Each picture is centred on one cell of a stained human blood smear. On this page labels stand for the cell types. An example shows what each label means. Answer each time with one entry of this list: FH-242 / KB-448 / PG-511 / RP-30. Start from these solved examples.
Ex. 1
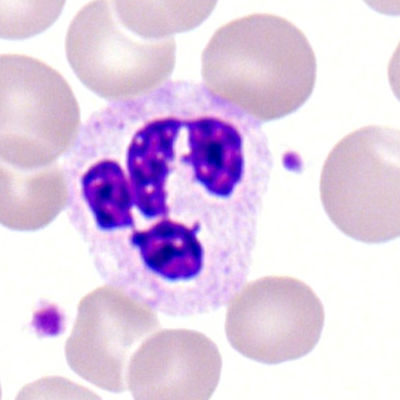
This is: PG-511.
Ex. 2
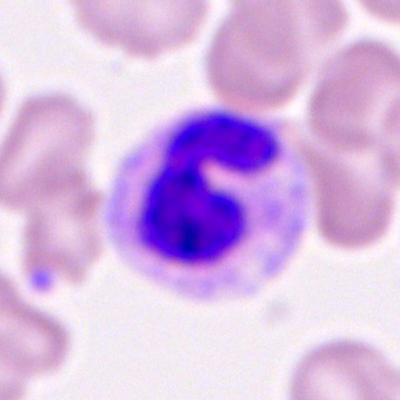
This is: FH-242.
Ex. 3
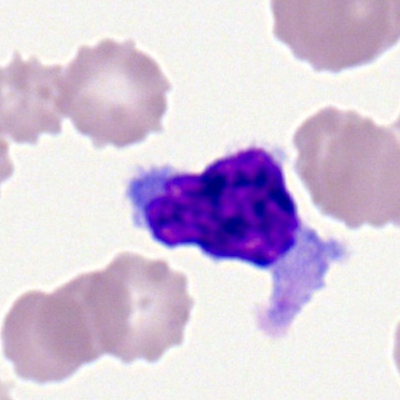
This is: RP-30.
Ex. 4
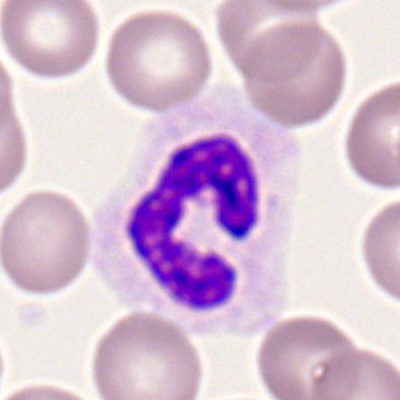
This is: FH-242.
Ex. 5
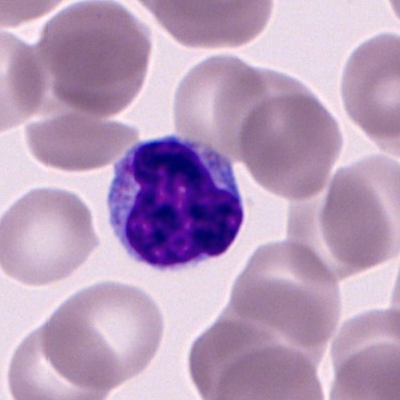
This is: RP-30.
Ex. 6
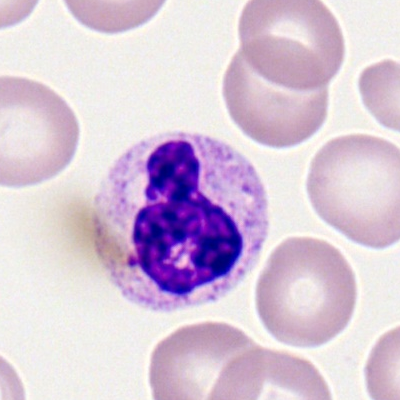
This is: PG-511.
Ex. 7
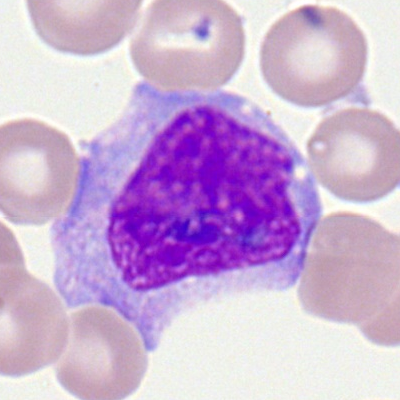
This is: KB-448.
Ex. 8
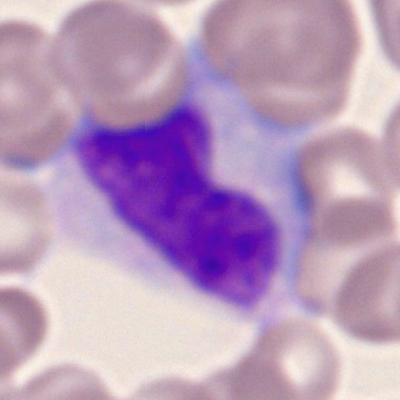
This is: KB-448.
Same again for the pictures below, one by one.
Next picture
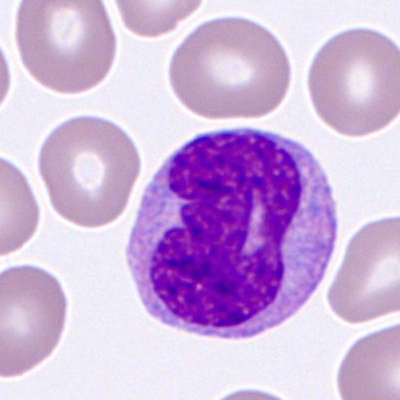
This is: KB-448.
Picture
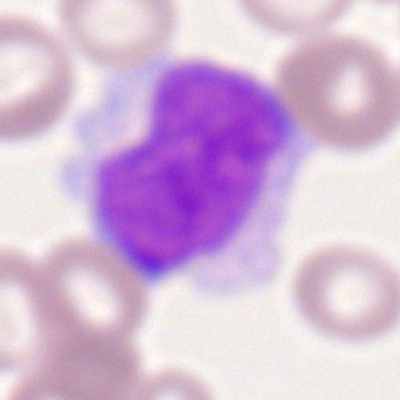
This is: KB-448.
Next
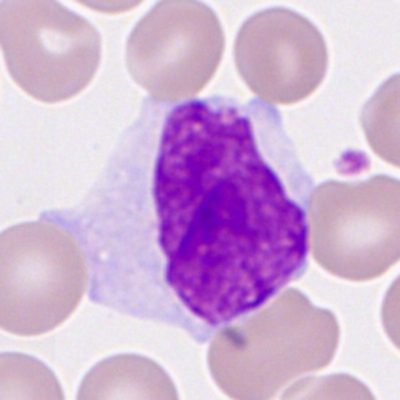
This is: KB-448.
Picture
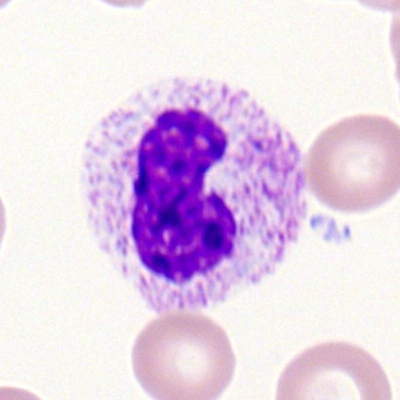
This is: FH-242.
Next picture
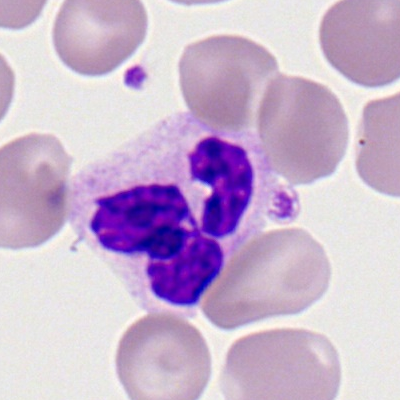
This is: PG-511.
